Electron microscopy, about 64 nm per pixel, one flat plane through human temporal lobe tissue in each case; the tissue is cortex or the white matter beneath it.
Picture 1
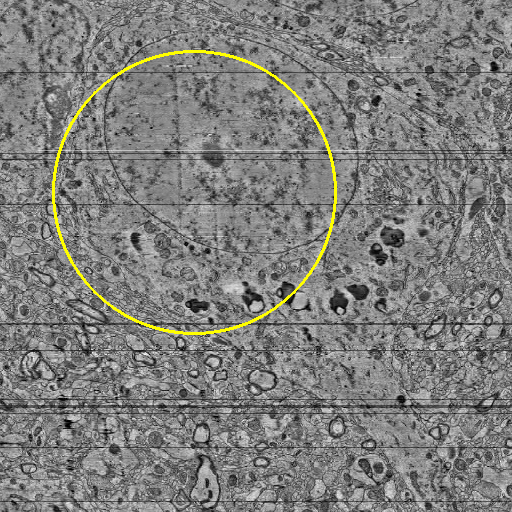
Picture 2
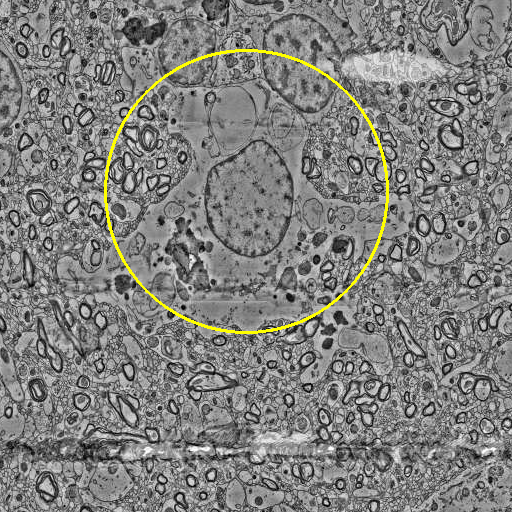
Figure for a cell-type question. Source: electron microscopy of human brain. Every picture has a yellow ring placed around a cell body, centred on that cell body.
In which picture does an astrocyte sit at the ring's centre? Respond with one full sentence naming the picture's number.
The cell in the middle of the ring in picture 2 is the one sought.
